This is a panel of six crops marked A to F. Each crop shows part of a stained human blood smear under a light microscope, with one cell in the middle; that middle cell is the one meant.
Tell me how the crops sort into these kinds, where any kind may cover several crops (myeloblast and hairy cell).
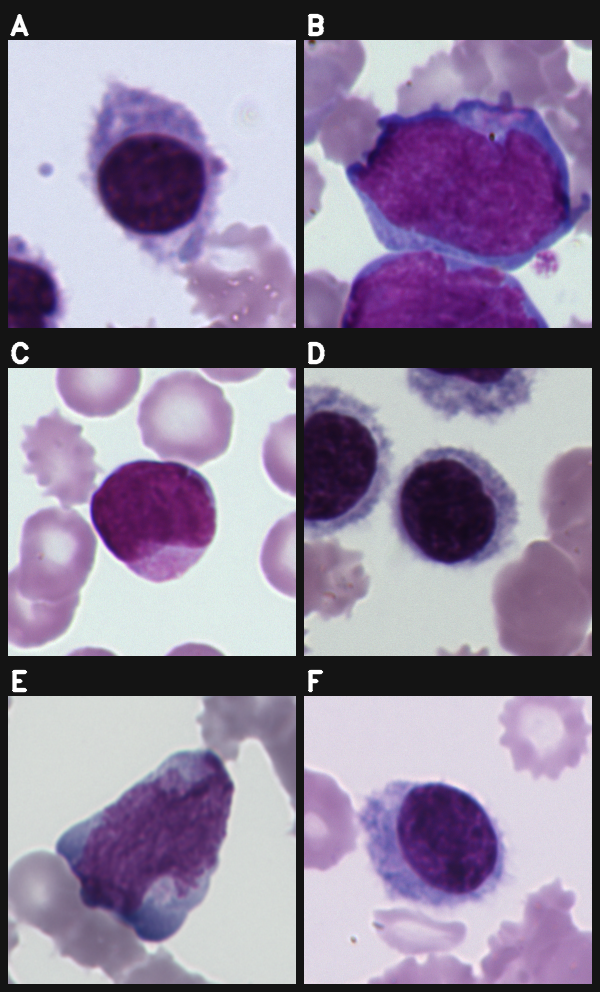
A: hairy cell
B: myeloblast
C: myeloblast
D: hairy cell
E: myeloblast
F: hairy cell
